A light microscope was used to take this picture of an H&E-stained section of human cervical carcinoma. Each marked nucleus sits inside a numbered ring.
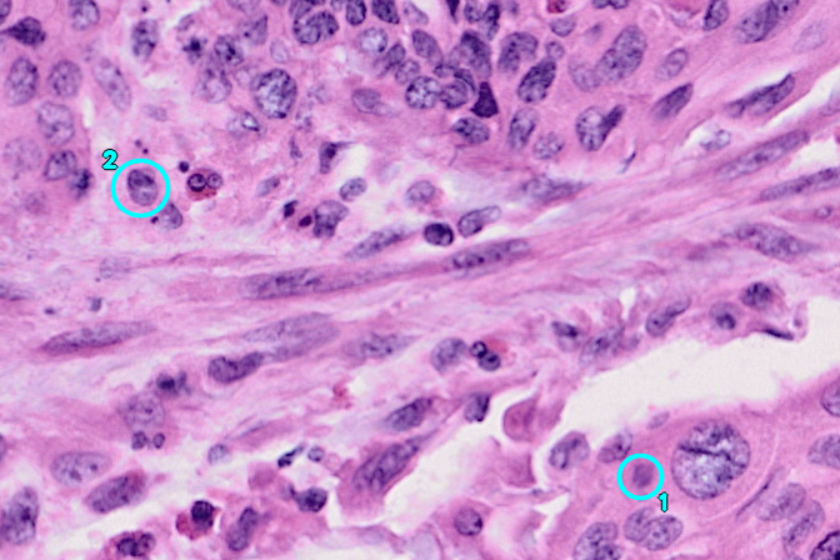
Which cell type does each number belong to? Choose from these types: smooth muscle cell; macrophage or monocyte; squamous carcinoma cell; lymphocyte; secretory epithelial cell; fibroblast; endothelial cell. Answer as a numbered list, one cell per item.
1. squamous carcinoma cell
2. macrophage or monocyte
